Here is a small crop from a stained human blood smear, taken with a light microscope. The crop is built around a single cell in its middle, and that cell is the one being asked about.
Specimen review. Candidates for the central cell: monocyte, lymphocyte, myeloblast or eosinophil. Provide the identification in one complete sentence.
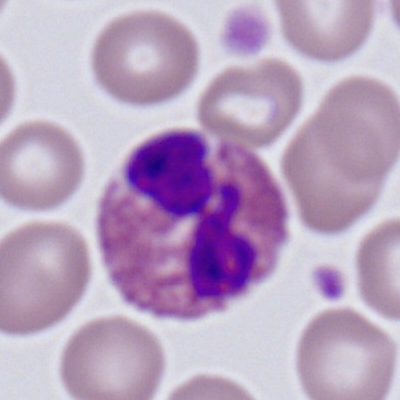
The cell positioned in the middle of the field is an eosinophil.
